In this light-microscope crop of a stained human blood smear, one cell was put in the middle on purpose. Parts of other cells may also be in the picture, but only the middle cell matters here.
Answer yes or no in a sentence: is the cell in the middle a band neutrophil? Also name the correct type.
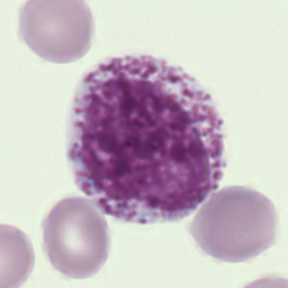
No, what occupies the middle of the crop is a metamyelocyte and not a band neutrophil.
